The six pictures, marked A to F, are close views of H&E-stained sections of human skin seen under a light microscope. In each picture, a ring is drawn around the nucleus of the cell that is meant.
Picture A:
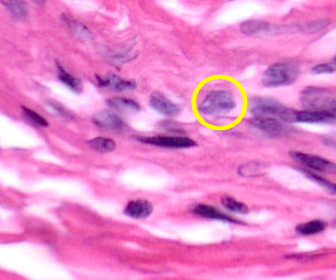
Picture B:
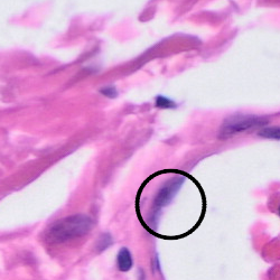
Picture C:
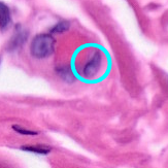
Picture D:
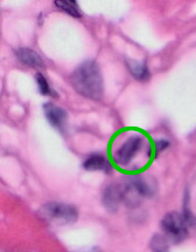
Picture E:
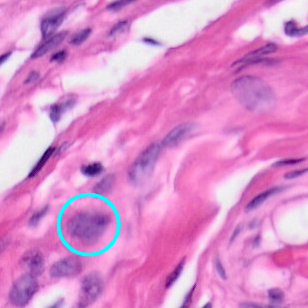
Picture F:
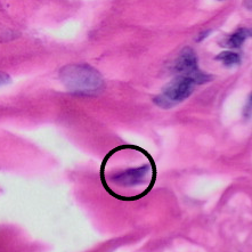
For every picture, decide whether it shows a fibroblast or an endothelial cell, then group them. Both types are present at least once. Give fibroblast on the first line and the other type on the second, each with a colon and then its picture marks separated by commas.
fibroblast: E, F
endothelial cell: A, B, C, D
